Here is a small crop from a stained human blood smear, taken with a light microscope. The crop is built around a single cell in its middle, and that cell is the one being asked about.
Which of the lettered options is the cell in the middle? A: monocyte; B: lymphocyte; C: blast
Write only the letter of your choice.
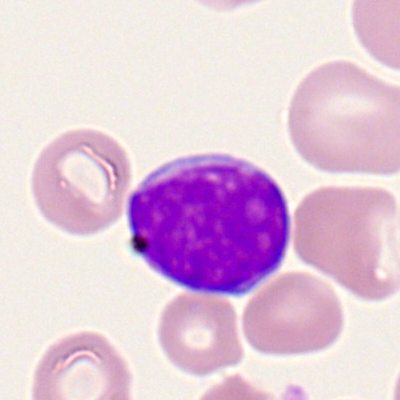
C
